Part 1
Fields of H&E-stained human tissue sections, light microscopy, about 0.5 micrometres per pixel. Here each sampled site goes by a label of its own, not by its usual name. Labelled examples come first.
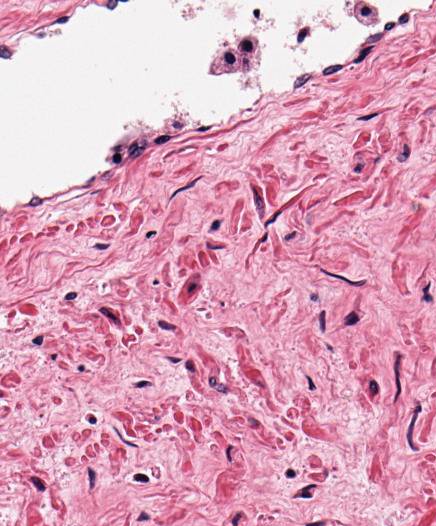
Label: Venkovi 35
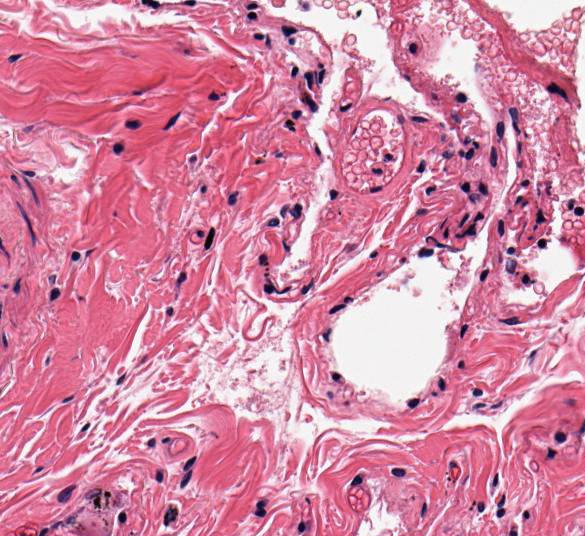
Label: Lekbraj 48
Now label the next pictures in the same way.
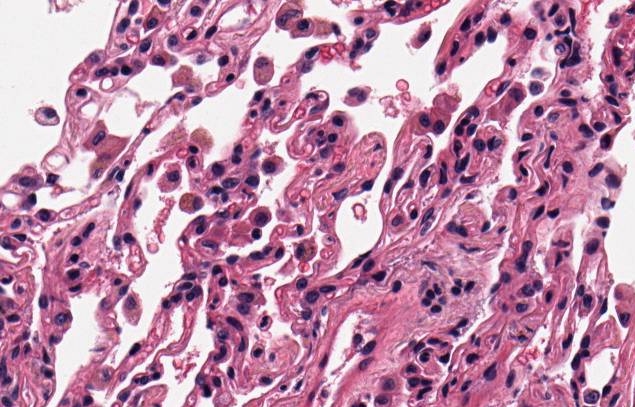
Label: Lekbraj 48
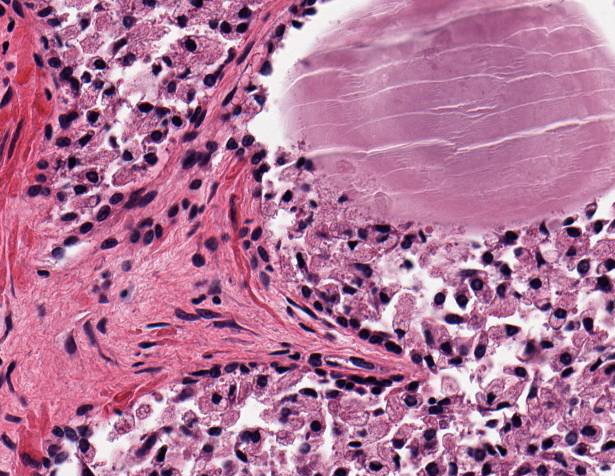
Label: Venkovi 35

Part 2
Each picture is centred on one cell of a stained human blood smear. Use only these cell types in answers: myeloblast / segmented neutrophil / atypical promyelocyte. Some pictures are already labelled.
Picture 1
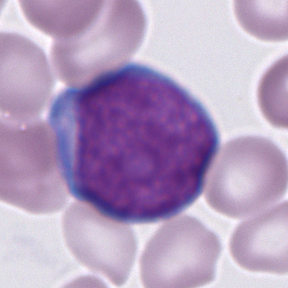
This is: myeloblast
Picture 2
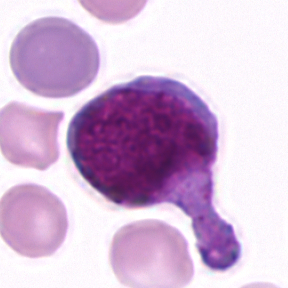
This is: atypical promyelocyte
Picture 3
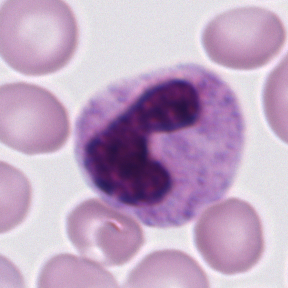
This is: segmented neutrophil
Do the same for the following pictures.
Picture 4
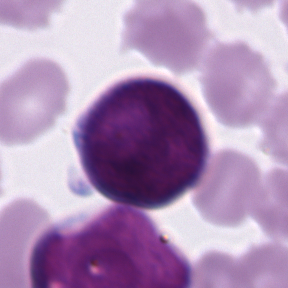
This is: myeloblast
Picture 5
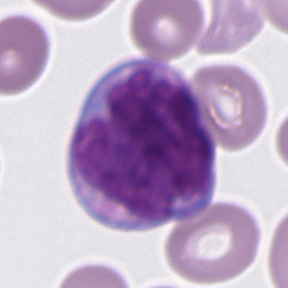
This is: atypical promyelocyte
